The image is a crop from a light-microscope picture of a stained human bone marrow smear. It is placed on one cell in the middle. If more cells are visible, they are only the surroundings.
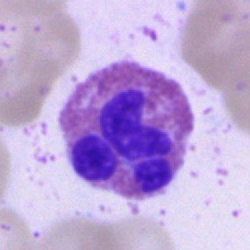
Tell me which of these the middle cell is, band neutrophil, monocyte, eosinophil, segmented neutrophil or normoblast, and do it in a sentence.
For this crop, the central cell is an eosinophil.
